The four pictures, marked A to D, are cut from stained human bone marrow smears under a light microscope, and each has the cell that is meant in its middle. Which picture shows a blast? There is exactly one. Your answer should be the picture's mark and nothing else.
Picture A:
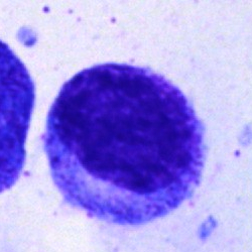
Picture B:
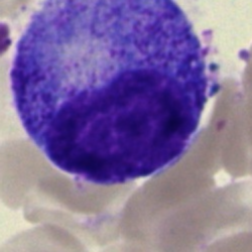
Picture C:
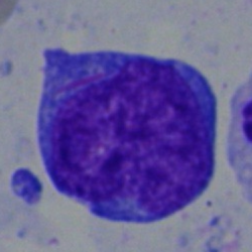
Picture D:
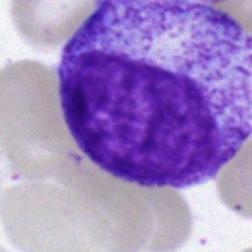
C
